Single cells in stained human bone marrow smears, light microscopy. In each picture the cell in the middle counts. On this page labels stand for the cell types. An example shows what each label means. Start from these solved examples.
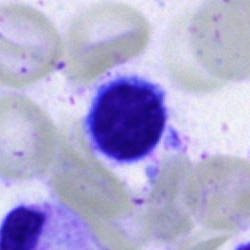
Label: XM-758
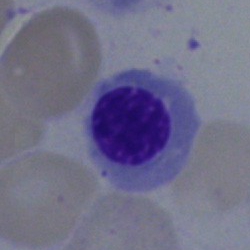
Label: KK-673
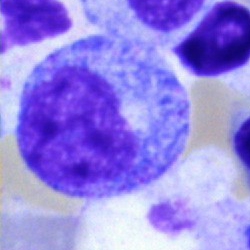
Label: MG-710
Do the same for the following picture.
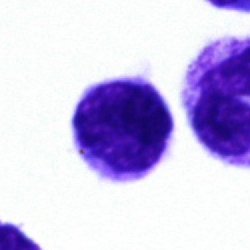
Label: XM-758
